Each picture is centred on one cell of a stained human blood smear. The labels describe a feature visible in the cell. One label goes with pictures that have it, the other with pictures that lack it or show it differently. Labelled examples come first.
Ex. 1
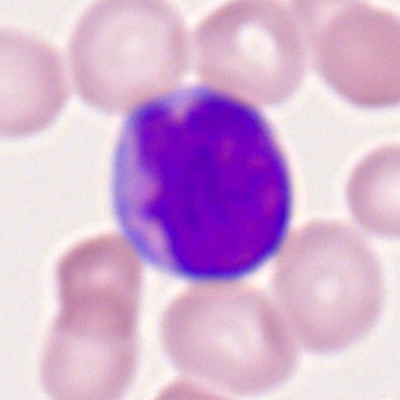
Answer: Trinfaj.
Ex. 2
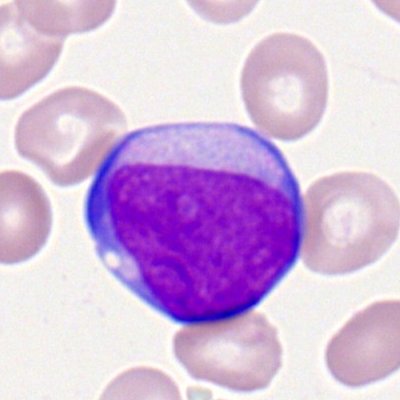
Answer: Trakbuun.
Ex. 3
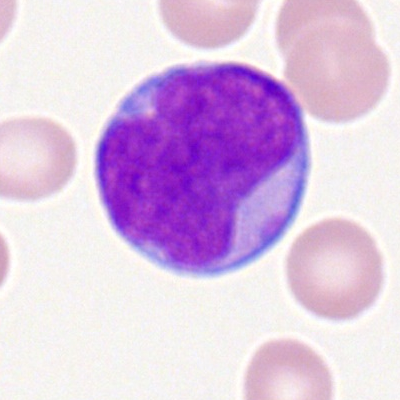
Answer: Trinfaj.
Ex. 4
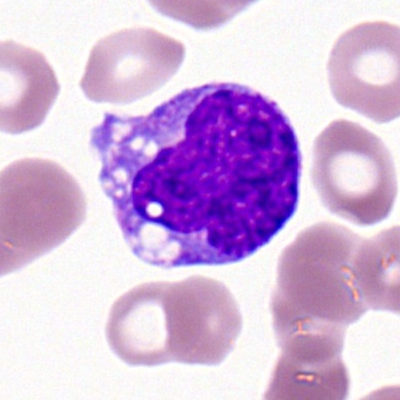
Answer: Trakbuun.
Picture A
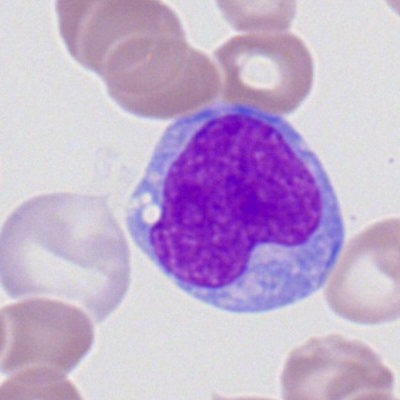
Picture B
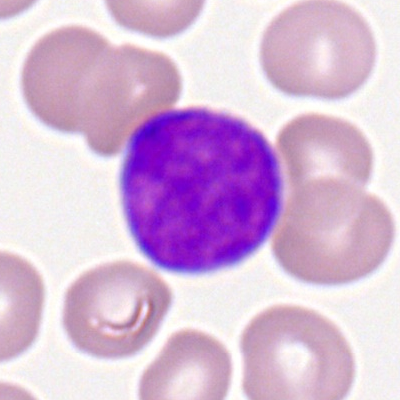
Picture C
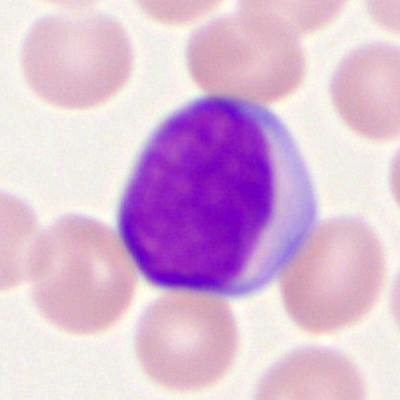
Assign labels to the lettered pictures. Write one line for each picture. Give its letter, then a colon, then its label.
A: Trakbuun.
B: Trinfaj.
C: Trinfaj.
